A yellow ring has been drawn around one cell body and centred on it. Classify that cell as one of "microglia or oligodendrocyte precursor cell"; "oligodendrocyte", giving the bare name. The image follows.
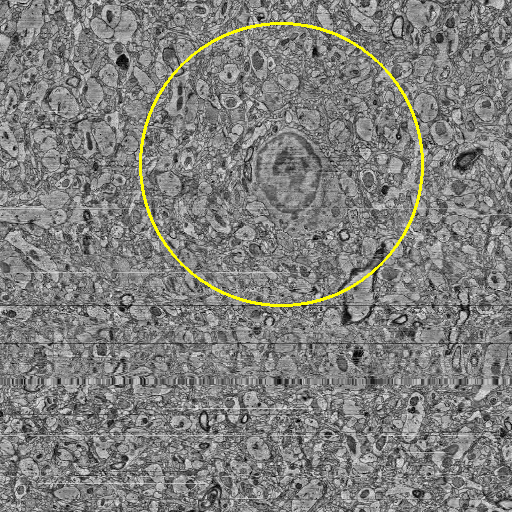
oligodendrocyte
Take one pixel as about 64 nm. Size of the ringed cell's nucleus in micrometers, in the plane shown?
Roughly 5 by 4 micrometres is the size of the nucleus in this plane.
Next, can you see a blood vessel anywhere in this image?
No, no vessel shows anywhere in the image.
